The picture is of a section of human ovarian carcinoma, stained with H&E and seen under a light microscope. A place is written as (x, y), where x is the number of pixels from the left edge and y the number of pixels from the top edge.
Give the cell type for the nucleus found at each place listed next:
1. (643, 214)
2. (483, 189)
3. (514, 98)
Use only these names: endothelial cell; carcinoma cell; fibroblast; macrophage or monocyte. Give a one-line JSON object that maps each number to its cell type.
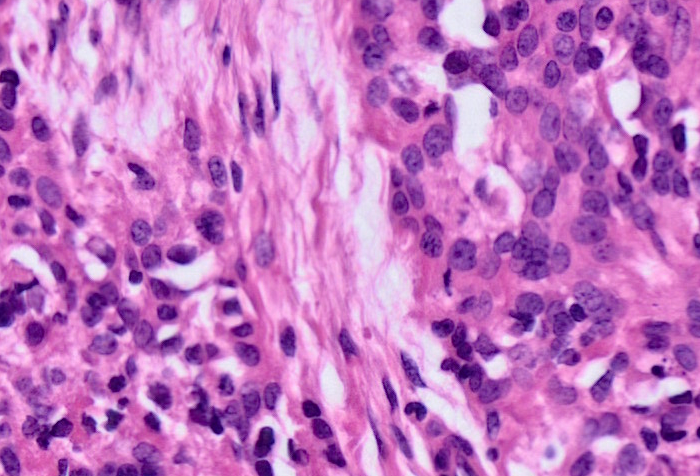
{"1": "carcinoma cell", "2": "macrophage or monocyte", "3": "carcinoma cell"}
